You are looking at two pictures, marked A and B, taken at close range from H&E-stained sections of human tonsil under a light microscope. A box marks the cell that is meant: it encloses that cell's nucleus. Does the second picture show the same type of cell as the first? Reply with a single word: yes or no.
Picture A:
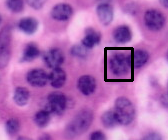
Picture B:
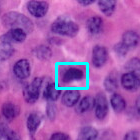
yes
